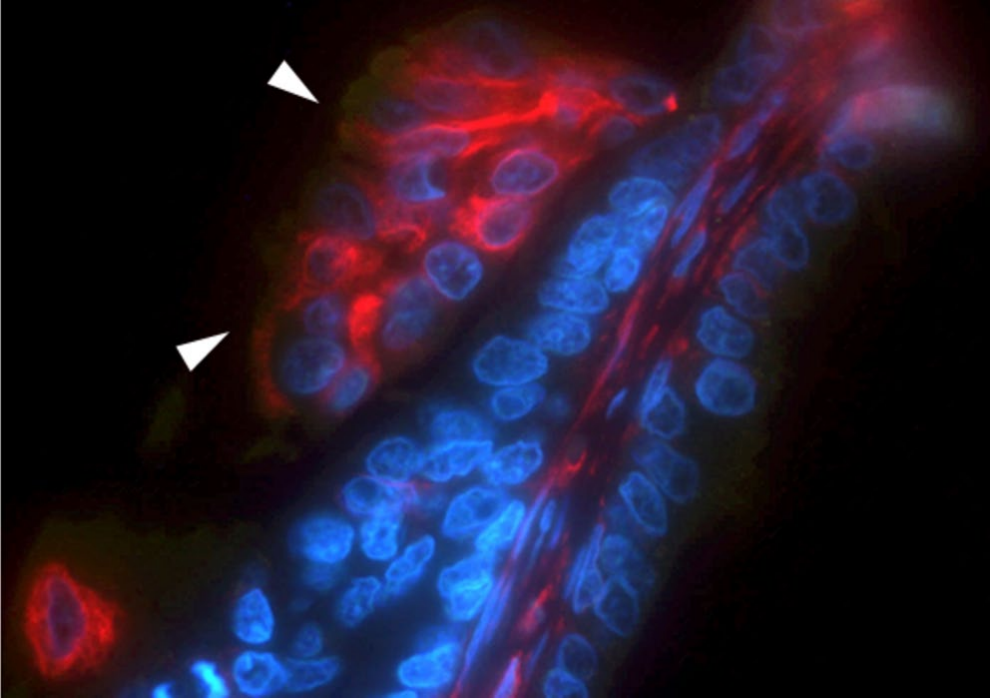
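A tumour papilla is shown, with a narrow central stalk of elongated, red-stained spindle-shaped cells running diagonally and covered on both sides by neoplastic epithelial cells. The epithelial cells attached to the stalk have round to oval blue nuclei, are crowded in several layers and show little red in their cytoplasm. To one side, a loose group of sloughed cells lies apart from the attached layer, and their cytoplasm is strongly red. A single rounded cell with a red-rimmed cytoplasm lies separately in the lower left corner.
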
